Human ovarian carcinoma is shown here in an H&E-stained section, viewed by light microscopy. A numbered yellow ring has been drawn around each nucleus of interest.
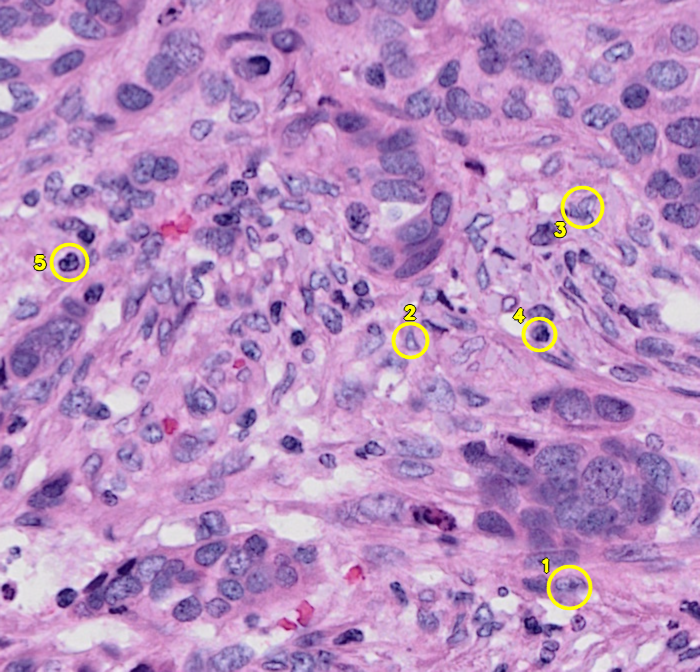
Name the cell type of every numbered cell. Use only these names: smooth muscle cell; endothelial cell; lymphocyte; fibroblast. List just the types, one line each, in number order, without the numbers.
fibroblast
fibroblast
fibroblast
lymphocyte
lymphocyte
